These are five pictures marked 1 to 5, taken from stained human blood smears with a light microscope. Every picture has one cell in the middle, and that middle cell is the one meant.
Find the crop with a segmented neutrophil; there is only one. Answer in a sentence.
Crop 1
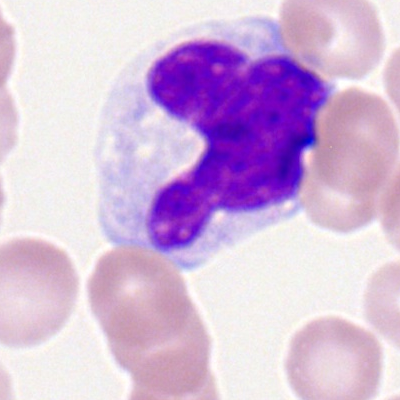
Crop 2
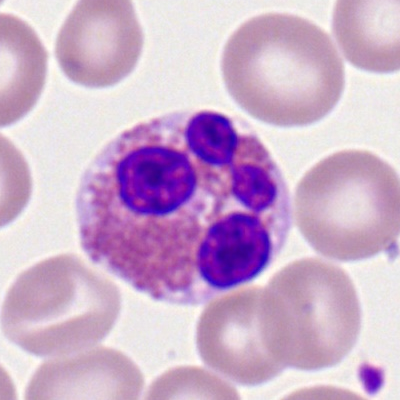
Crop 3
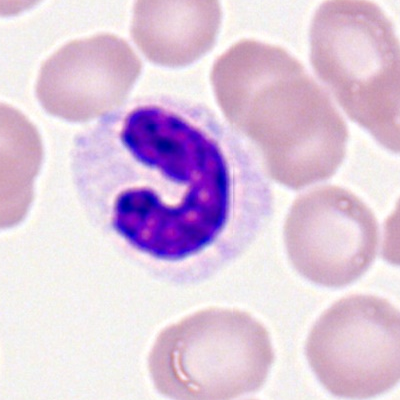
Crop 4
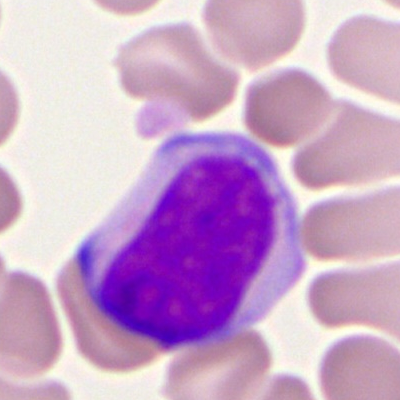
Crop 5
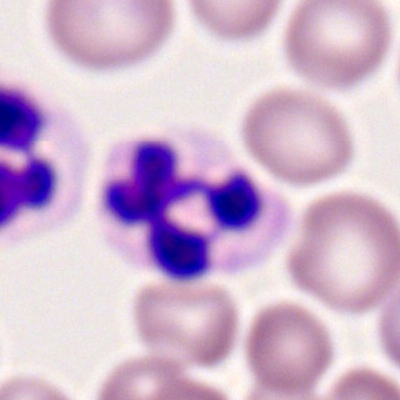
When the crops are compared, crop 5 is the one showing a segmented neutrophil.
